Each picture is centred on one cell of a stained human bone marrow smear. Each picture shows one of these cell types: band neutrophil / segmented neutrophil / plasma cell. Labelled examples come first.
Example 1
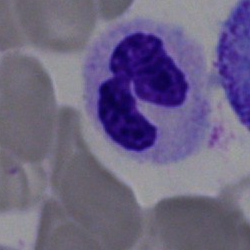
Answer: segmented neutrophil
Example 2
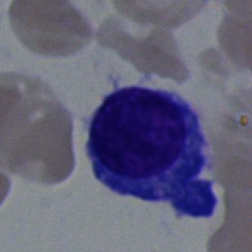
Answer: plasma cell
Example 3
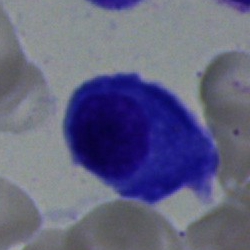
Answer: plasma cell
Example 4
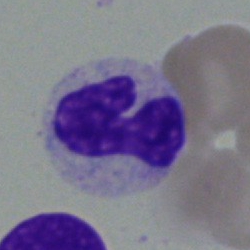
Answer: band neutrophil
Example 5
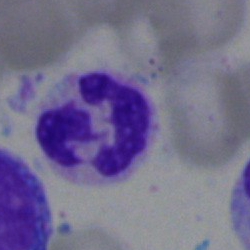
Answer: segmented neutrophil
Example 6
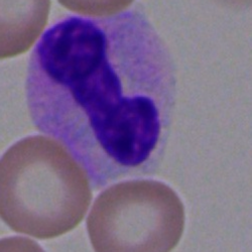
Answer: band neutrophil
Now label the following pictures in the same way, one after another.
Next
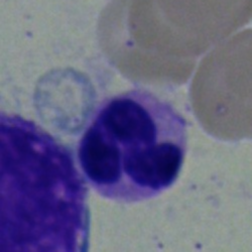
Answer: segmented neutrophil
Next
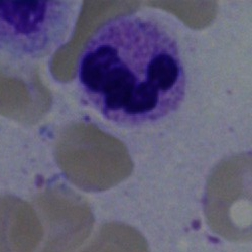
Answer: segmented neutrophil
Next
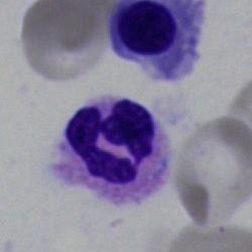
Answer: segmented neutrophil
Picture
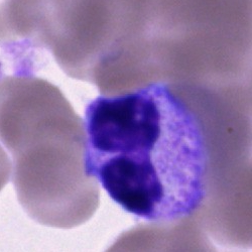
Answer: segmented neutrophil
